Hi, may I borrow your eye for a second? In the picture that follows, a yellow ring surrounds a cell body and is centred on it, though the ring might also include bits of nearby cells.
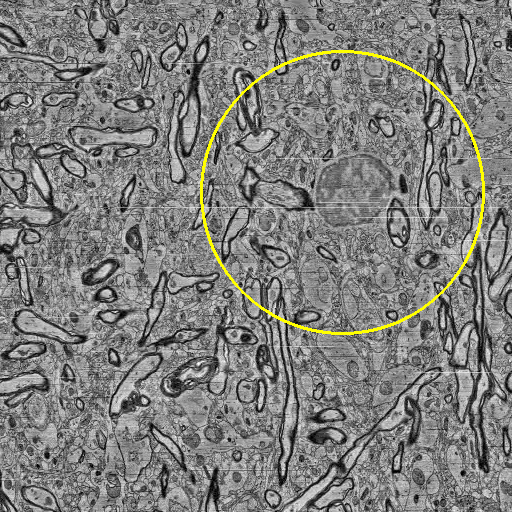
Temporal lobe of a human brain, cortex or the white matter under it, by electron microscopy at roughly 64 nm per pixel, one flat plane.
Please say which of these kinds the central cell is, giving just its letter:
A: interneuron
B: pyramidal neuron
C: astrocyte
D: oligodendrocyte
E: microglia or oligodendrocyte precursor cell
D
